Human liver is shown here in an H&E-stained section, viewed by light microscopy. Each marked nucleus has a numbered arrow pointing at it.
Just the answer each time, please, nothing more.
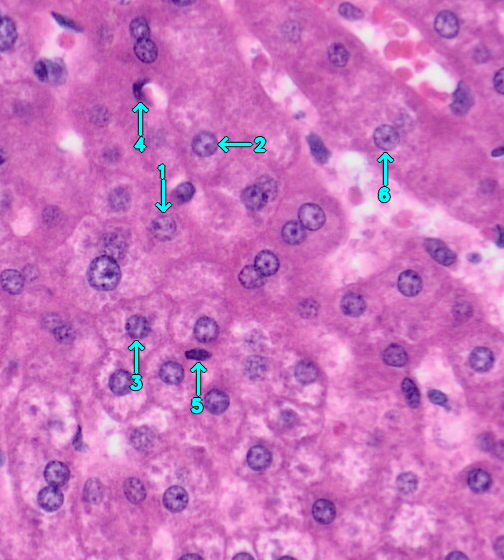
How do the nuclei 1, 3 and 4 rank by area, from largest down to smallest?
1, 3, 4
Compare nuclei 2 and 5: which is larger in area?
2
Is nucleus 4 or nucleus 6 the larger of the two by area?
6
